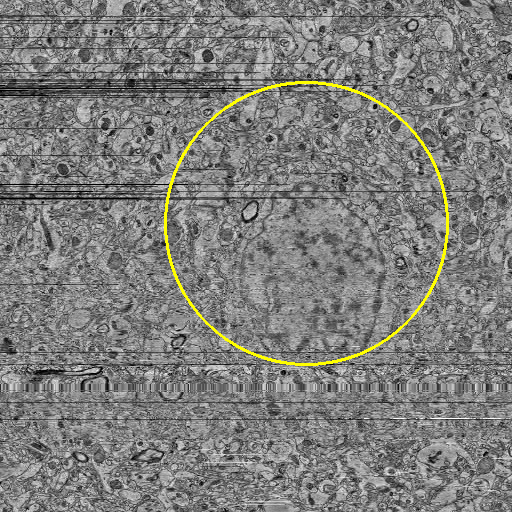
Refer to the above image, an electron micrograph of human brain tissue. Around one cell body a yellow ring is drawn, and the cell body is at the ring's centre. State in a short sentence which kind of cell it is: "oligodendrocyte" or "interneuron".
The centre of the ring falls on an interneuron.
